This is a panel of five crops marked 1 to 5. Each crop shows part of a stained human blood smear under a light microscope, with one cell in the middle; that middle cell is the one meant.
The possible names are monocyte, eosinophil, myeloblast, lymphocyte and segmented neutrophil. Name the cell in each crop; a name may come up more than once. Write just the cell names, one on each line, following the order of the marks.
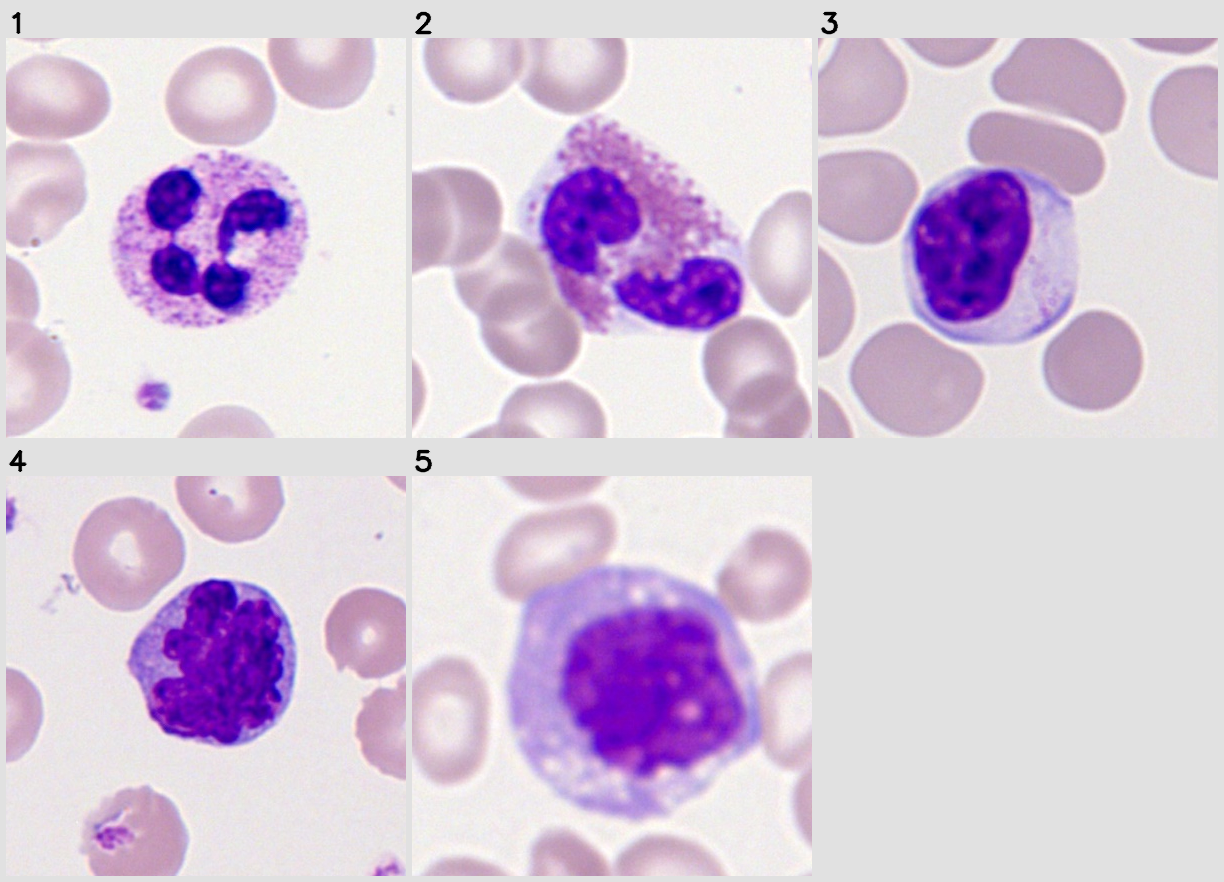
segmented neutrophil
eosinophil
lymphocyte
monocyte
monocyte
